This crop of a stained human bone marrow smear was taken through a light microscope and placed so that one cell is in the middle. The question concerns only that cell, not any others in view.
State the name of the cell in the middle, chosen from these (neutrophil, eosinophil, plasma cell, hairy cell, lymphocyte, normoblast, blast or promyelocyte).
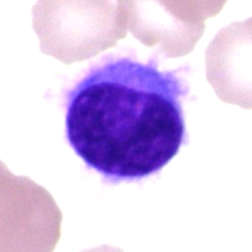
hairy cell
